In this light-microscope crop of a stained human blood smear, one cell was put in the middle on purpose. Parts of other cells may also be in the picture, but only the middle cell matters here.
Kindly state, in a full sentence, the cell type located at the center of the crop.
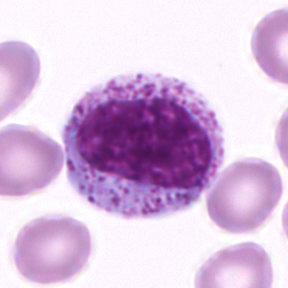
The cell at the centre of the field is a metamyelocyte.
